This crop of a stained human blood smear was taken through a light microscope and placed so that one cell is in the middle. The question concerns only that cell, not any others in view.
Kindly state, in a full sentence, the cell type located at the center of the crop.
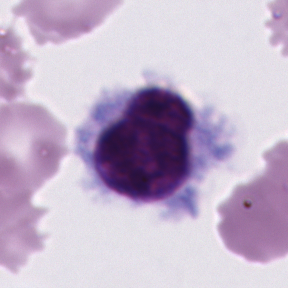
This crop's central cell is a hairy cell.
